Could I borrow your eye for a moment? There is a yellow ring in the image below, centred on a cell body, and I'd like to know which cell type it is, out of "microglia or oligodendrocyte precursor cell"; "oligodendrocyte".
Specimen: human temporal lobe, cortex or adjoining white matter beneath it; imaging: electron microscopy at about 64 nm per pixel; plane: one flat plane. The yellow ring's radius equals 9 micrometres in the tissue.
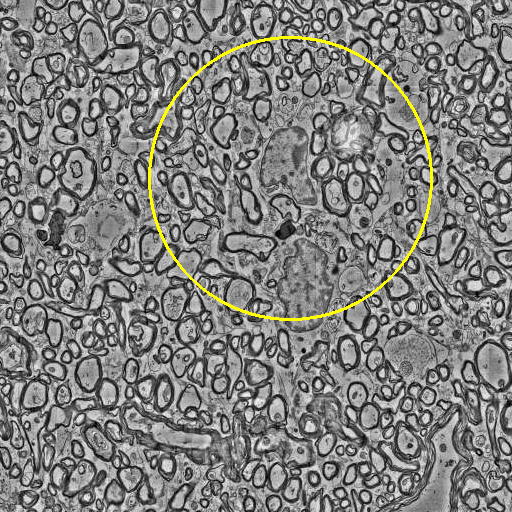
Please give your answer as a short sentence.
The cell body at the centre is that of a microglial cell or oligodendrocyte precursor cell.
